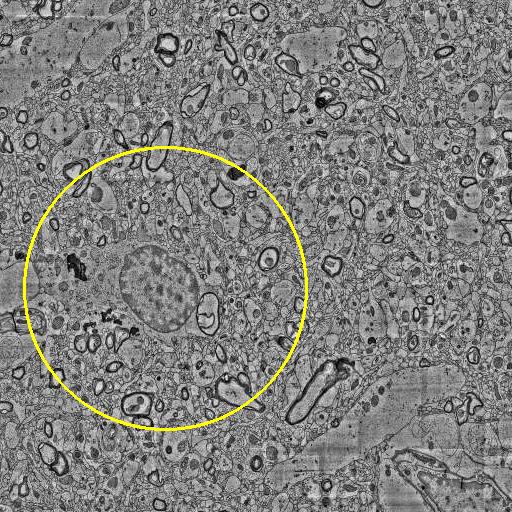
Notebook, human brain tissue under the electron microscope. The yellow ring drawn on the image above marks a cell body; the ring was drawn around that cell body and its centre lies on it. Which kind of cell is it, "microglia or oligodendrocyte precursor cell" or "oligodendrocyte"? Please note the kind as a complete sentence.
The marked cell body is that of an oligodendrocyte.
